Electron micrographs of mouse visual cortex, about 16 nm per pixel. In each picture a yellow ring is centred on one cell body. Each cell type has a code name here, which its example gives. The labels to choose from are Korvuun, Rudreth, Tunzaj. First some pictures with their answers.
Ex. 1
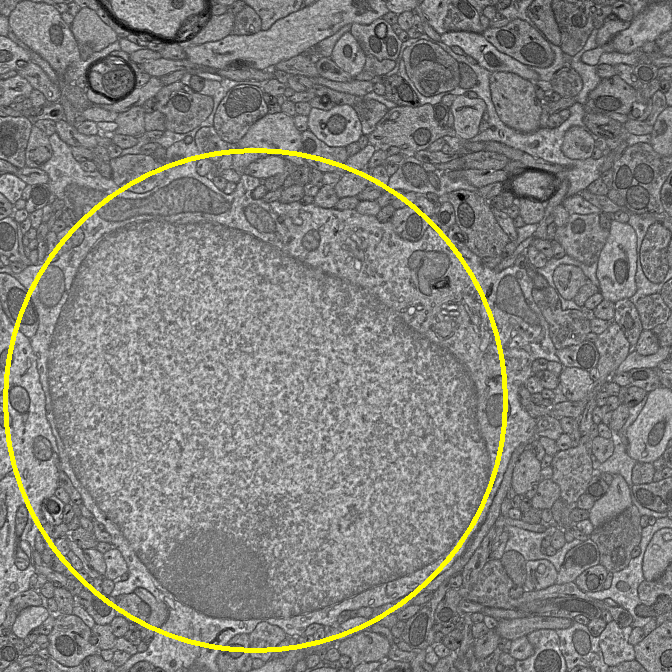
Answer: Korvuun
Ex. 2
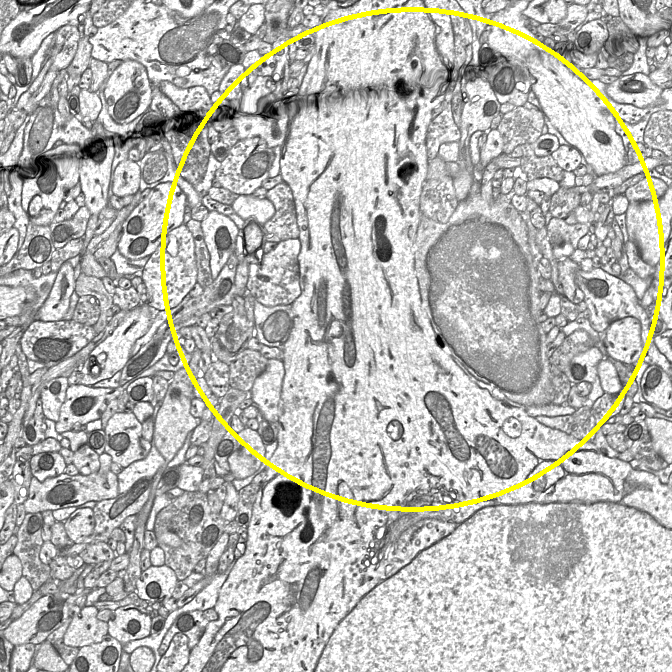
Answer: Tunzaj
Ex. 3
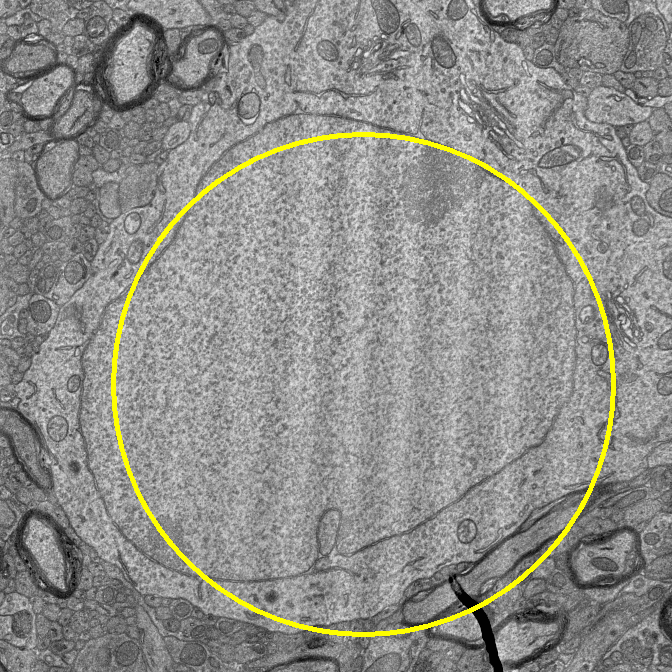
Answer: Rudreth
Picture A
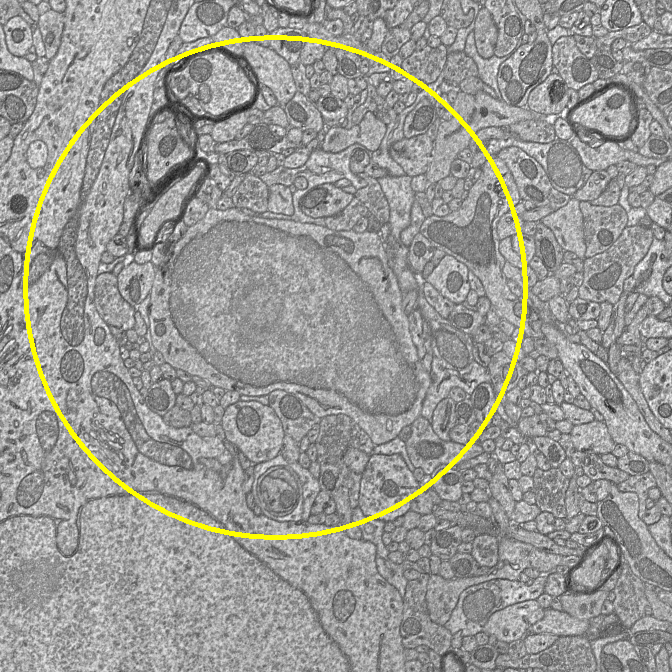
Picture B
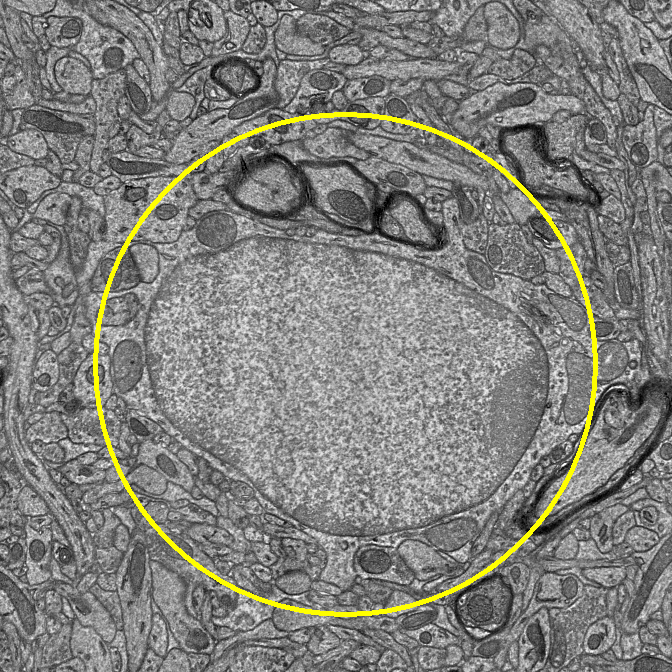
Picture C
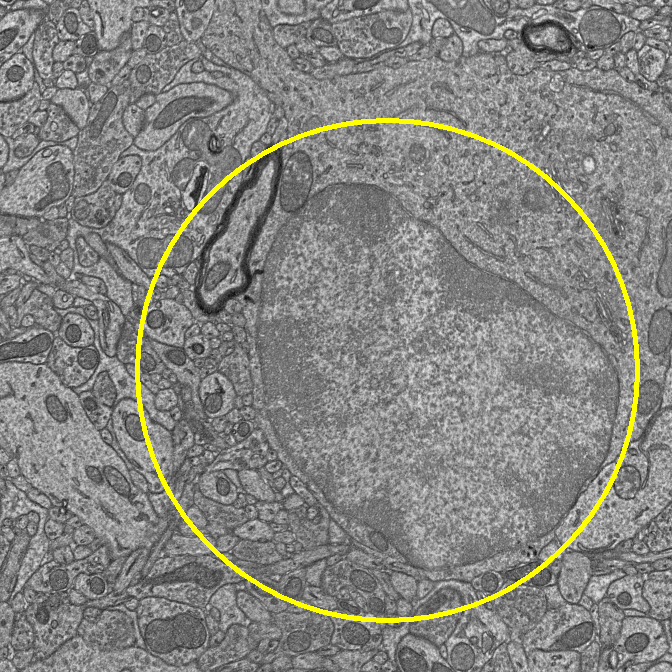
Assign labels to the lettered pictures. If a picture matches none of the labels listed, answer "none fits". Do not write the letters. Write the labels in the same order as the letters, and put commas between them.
Tunzaj, Korvuun, none fits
